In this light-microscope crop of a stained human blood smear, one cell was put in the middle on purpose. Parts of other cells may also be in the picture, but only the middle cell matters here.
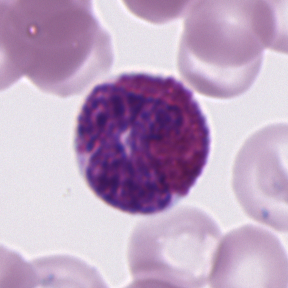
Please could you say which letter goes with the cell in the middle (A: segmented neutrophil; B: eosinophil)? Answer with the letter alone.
B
